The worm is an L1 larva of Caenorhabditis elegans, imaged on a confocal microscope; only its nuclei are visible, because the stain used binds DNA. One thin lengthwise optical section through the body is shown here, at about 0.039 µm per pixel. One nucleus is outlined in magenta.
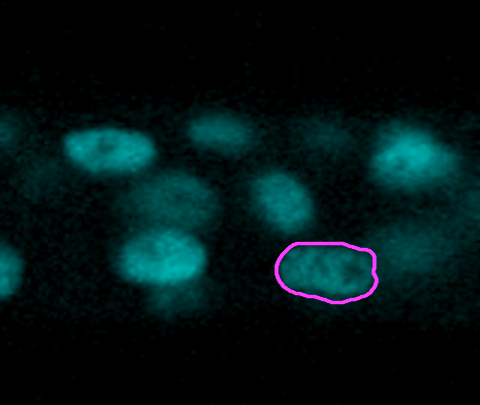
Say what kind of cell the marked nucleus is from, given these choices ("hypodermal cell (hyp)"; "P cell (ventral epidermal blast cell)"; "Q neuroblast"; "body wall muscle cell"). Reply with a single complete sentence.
The cell with the marked nucleus is a hypodermal cell (hyp).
